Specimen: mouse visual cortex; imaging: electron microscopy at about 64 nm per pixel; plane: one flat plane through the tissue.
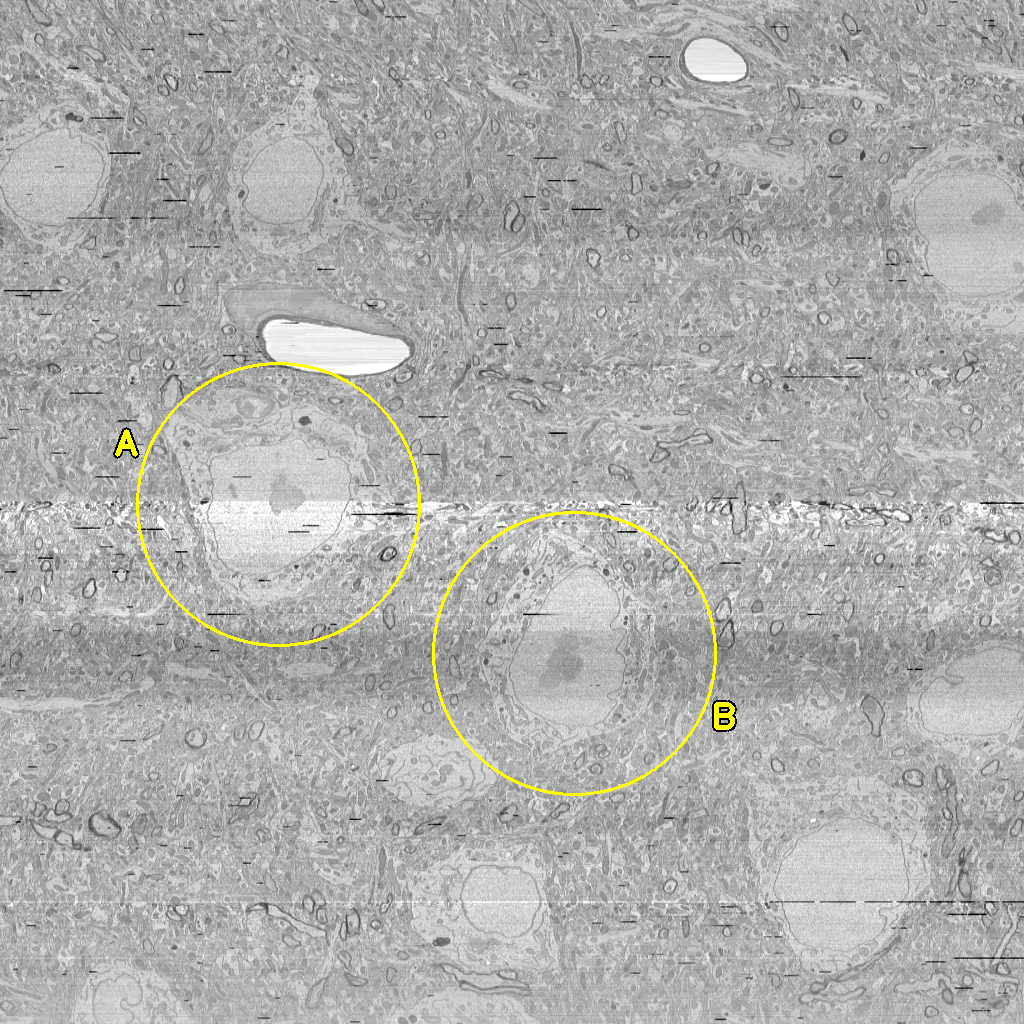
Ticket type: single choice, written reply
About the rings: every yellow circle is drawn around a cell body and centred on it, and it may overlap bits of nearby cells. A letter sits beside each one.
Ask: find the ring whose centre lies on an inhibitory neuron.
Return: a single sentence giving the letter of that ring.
At the centre of the ring marked B lies the cell asked for.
